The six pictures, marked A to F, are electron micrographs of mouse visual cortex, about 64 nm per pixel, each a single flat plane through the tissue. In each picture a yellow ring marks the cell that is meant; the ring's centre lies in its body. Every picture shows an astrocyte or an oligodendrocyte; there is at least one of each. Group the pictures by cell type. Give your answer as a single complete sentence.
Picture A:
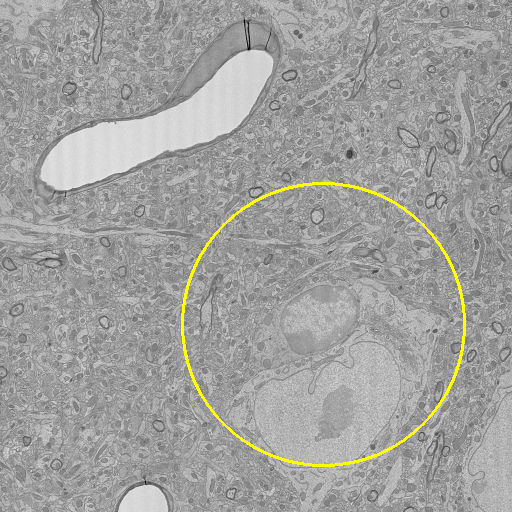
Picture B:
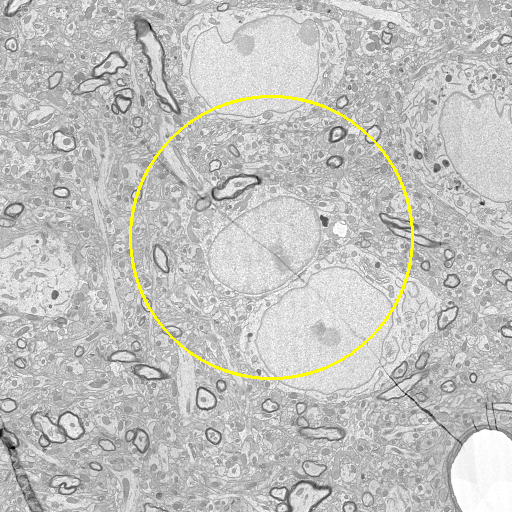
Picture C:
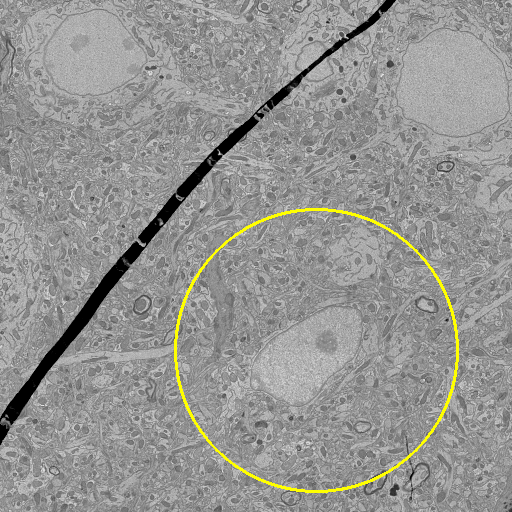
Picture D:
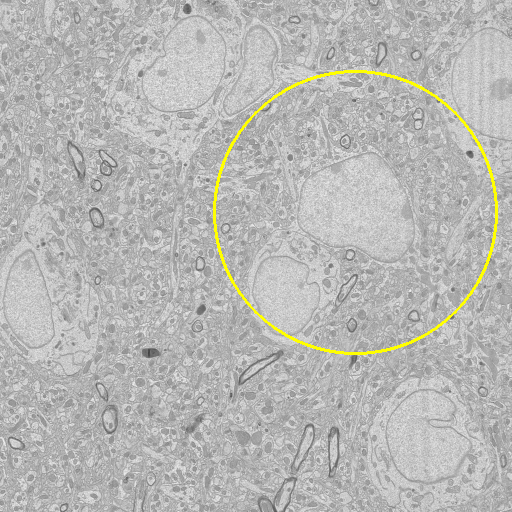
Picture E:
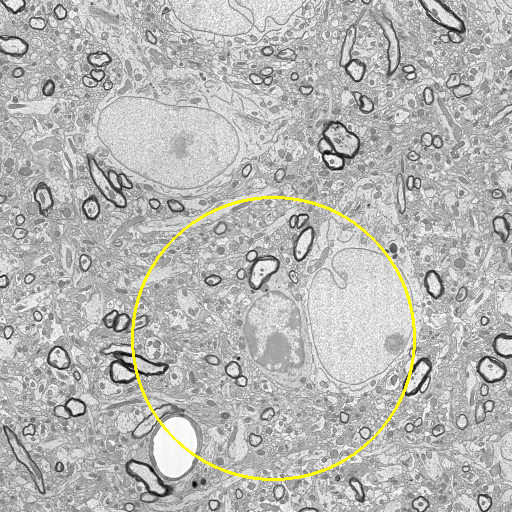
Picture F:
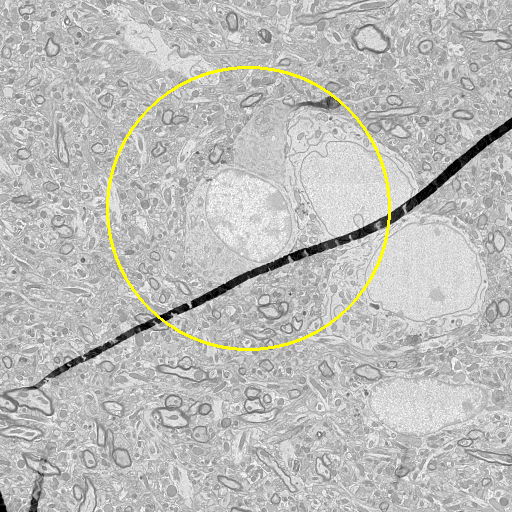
Pictures B, C and D show astrocytes, and pictures A, E and F show oligodendrocytes.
